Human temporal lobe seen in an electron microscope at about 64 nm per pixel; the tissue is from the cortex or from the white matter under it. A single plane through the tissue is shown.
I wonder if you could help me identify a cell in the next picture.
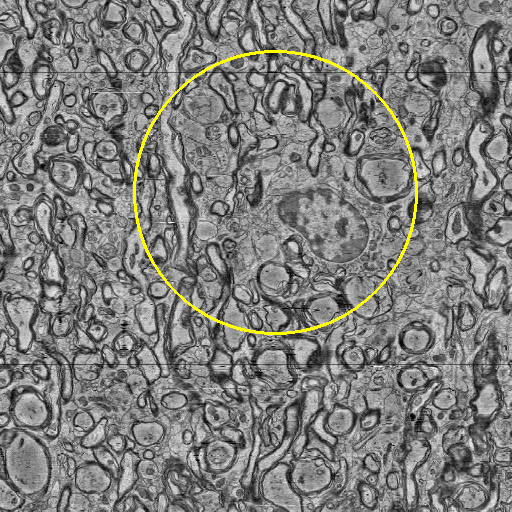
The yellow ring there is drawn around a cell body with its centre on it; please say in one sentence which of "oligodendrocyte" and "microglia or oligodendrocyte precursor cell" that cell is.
The yellow ring is centred on a microglial cell or oligodendrocyte precursor cell.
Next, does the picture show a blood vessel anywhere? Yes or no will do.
No, there is no blood vessel in the image.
